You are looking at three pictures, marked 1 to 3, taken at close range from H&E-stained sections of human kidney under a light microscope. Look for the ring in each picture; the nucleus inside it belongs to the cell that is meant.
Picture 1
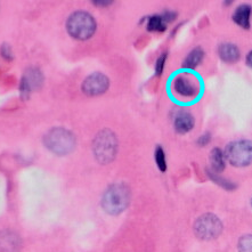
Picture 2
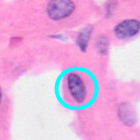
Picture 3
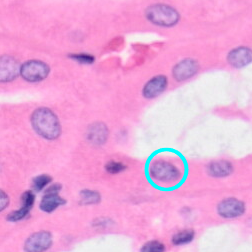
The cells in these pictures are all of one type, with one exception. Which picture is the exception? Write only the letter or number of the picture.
1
